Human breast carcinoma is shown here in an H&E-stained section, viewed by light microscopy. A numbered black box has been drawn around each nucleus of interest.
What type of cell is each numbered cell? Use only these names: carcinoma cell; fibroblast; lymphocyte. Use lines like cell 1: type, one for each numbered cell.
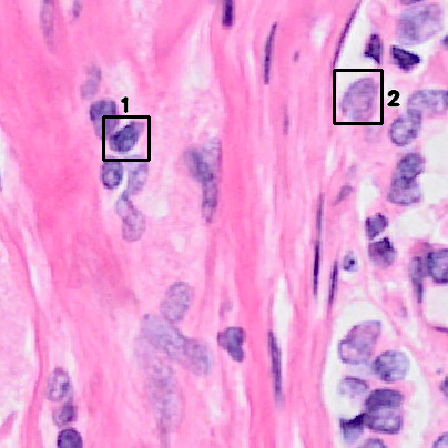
cell 1: lymphocyte
cell 2: carcinoma cell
